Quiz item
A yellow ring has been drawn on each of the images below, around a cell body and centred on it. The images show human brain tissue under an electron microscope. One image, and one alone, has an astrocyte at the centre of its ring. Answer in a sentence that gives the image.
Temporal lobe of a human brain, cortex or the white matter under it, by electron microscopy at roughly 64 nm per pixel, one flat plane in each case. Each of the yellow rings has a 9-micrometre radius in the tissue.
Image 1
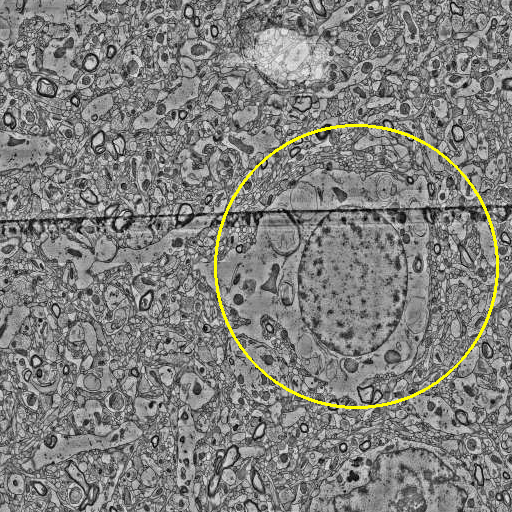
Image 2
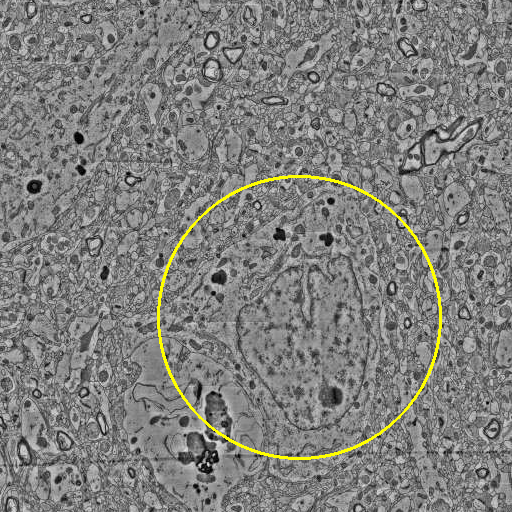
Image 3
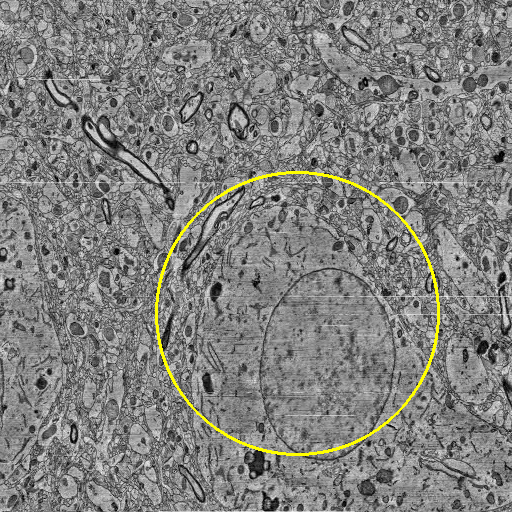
Image 1 shows it at the centre of the ring.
